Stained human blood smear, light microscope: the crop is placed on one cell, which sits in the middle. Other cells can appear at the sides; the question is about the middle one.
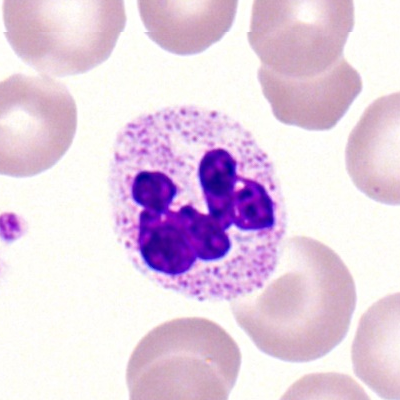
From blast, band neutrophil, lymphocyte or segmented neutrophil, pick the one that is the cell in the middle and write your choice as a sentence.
The cell in the middle of this crop is a segmented neutrophil.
